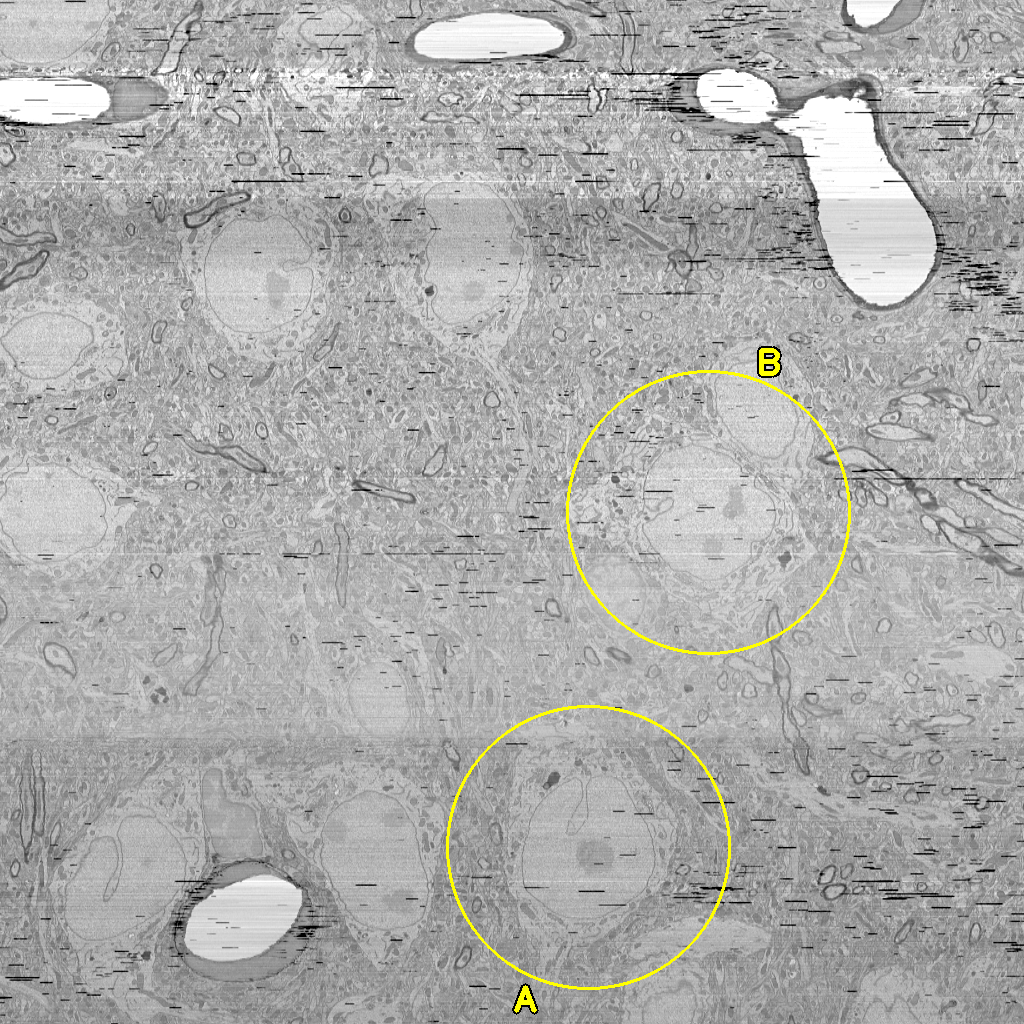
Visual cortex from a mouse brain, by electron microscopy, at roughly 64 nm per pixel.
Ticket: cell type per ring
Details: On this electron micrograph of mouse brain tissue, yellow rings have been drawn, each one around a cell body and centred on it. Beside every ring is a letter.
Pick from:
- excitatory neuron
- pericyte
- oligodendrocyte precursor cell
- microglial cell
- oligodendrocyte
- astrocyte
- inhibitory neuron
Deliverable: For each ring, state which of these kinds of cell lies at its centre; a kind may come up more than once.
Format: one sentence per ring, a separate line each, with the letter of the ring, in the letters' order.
The cell body ringed as A belongs to an excitatory neuron.
The cell body ringed as B belongs to an inhibitory neuron.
